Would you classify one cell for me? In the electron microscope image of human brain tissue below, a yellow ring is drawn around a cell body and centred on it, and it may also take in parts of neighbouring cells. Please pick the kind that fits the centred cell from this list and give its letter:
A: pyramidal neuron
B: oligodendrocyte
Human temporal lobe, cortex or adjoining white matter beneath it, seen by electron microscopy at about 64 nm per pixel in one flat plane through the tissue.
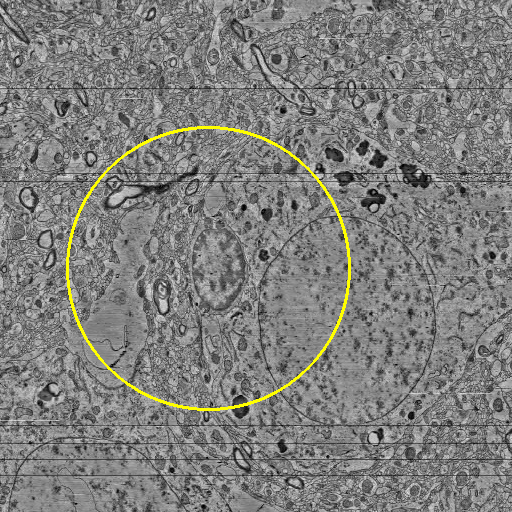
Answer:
B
